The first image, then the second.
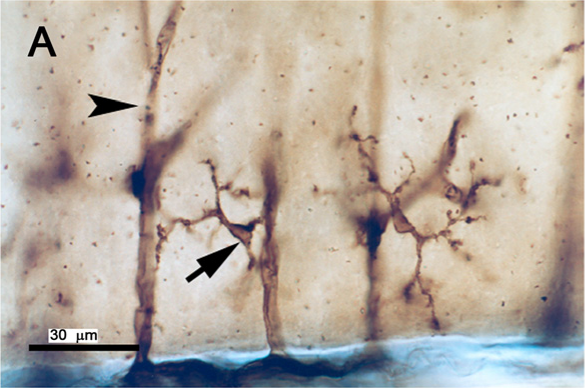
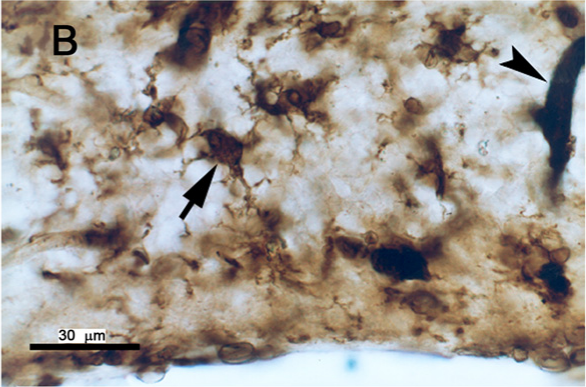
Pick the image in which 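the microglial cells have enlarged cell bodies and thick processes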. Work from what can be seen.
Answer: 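Second image: stained cells have large rounded bodies and short thick processes. First image: stained cells have small bodies with long thin branching processes. So: the second image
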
